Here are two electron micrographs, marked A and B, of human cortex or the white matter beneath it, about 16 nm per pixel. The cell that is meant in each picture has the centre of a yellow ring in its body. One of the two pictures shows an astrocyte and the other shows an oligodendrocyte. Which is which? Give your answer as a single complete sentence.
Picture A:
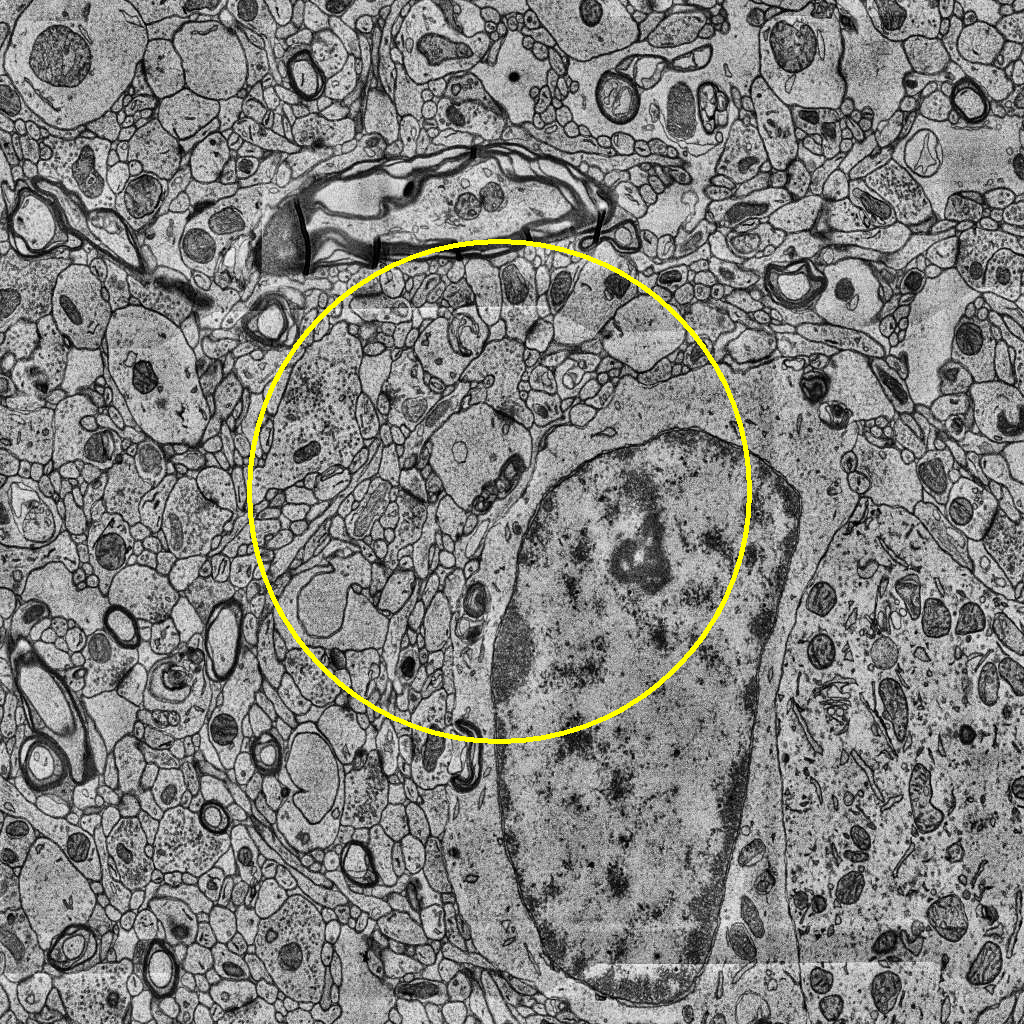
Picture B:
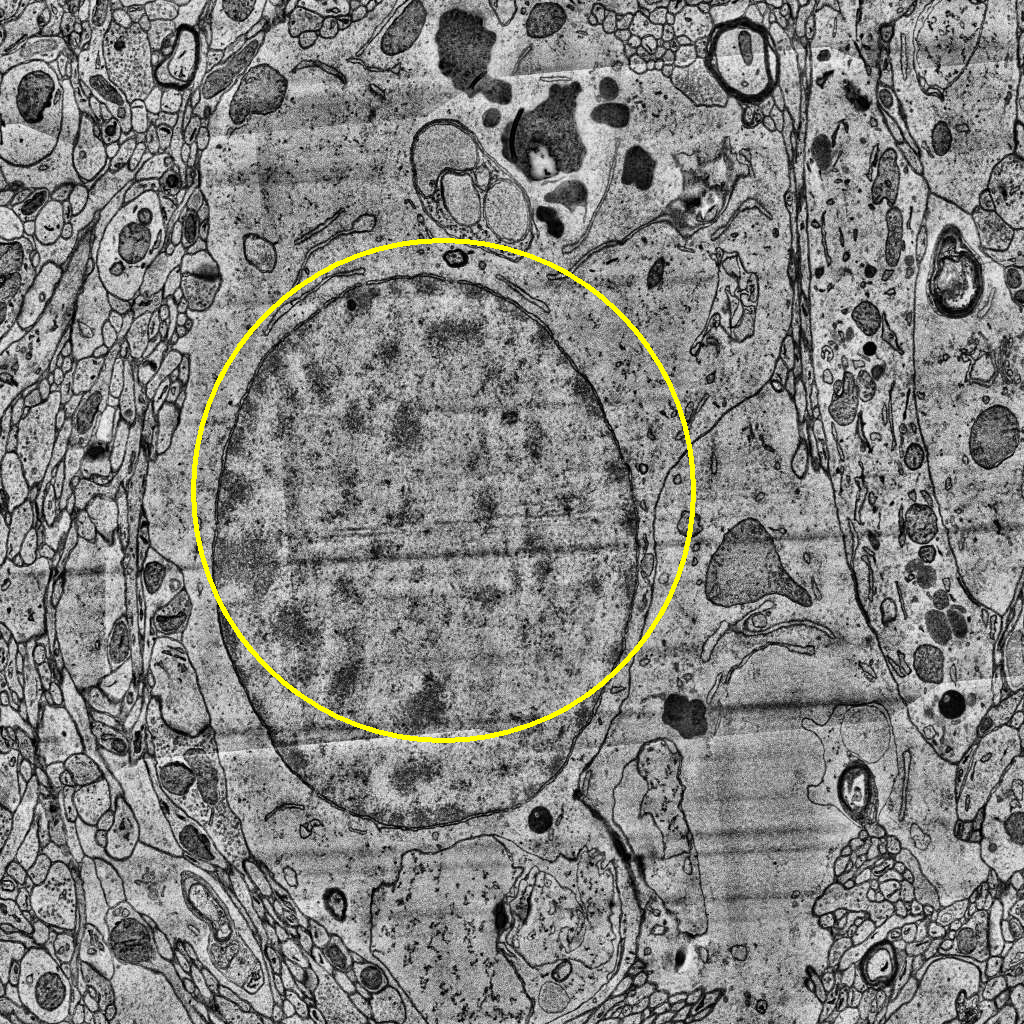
Picture A is of an oligodendrocyte, and picture B is of an astrocyte.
